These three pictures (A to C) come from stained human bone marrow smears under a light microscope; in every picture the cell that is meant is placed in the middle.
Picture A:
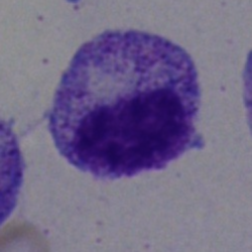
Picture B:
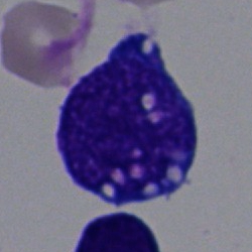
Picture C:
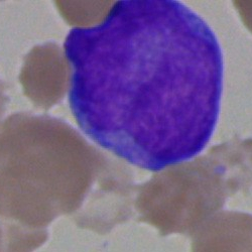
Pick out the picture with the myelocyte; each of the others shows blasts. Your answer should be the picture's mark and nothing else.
A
